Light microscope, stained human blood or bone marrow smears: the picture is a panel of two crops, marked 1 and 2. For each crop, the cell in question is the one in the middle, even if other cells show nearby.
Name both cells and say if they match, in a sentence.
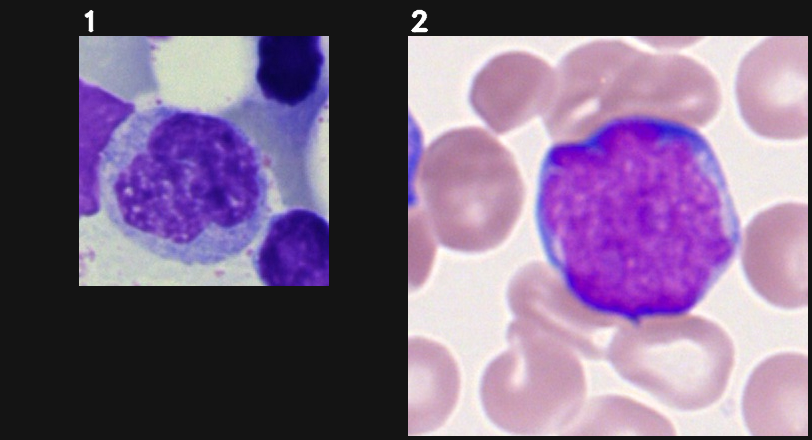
No, crop 1 shows a monocyte, and the cell in crop 2 is a blast.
